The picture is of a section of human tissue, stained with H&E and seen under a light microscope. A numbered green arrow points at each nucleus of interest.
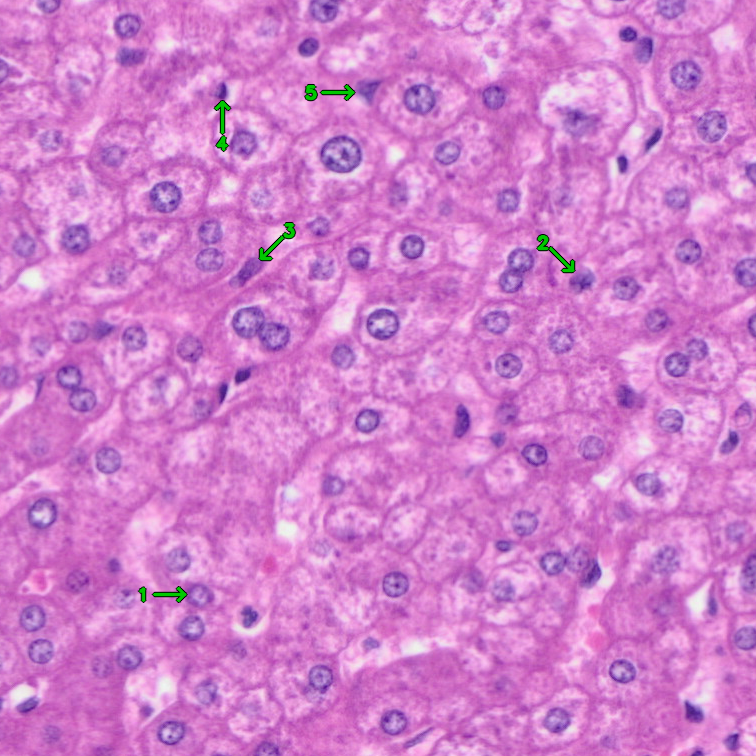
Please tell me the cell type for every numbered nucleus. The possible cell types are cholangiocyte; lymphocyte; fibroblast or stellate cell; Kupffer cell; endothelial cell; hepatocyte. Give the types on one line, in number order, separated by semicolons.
hepatocyte; endothelial cell; Kupffer cell; Kupffer cell; endothelial cell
